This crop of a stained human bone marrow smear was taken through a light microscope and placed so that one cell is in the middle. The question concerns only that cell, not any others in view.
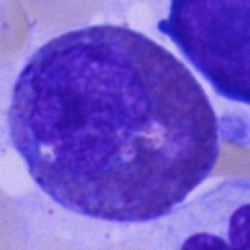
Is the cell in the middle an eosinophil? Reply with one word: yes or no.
yes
